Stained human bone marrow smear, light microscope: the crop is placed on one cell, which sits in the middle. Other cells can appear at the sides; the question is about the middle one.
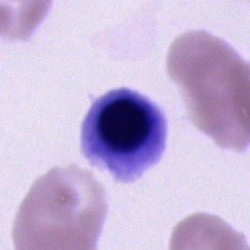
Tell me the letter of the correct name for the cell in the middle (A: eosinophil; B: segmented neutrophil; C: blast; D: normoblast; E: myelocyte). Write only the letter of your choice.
D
